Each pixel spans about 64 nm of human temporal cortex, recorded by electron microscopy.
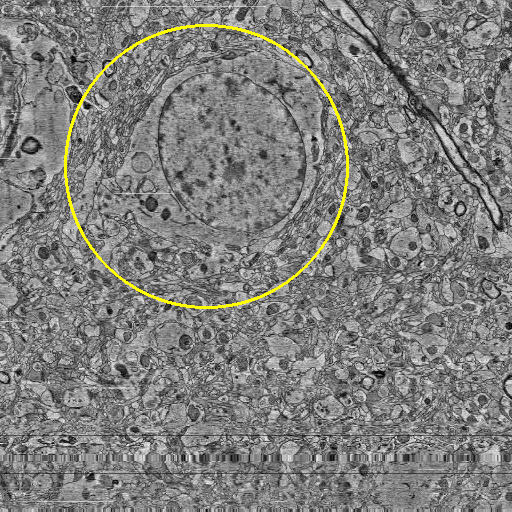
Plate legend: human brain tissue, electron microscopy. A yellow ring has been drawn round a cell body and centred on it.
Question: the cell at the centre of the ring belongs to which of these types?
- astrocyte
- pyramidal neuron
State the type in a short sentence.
The cell in the middle of the ring is an astrocyte.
